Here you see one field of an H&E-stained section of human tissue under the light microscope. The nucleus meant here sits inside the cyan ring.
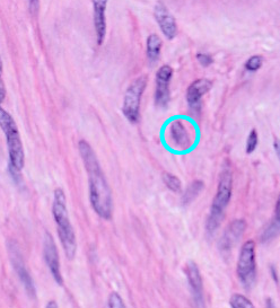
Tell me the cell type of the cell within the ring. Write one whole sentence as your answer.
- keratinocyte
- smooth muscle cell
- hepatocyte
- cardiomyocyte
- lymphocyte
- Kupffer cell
Recorded by type, the cell within the ring is a smooth muscle cell.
